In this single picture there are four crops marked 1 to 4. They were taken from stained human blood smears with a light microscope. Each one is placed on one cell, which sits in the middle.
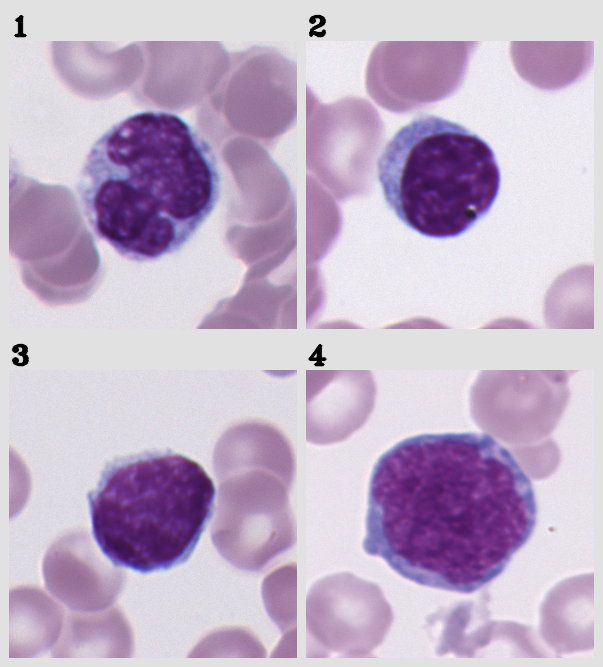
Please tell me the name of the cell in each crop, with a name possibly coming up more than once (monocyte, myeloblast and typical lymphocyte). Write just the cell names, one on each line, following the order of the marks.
monocyte
typical lymphocyte
typical lymphocyte
myeloblast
